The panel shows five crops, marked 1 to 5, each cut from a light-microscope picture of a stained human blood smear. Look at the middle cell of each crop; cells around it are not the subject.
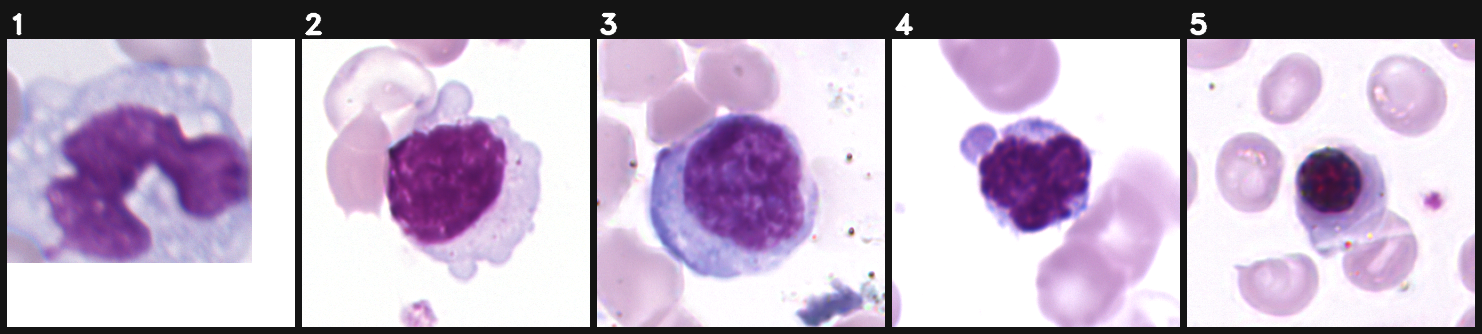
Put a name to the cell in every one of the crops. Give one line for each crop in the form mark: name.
1: monocyte
2: large granular lymphocyte
3: plasma cell
4: typical lymphocyte
5: normoblast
